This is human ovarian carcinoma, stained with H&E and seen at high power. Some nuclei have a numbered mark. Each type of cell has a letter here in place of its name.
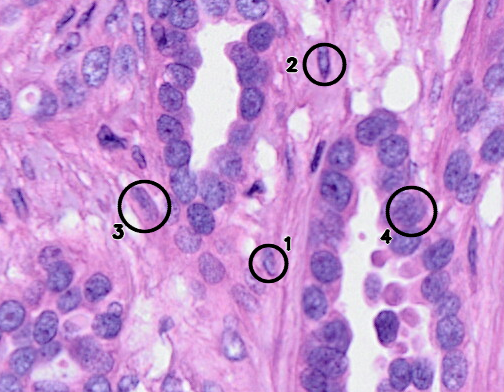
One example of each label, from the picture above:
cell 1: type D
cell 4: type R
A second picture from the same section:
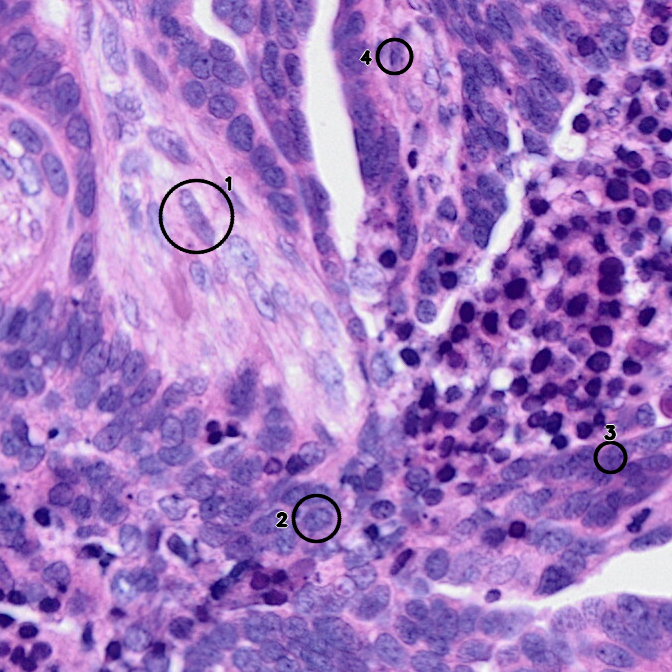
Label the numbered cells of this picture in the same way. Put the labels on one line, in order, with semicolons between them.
type D; type R; type R; type D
